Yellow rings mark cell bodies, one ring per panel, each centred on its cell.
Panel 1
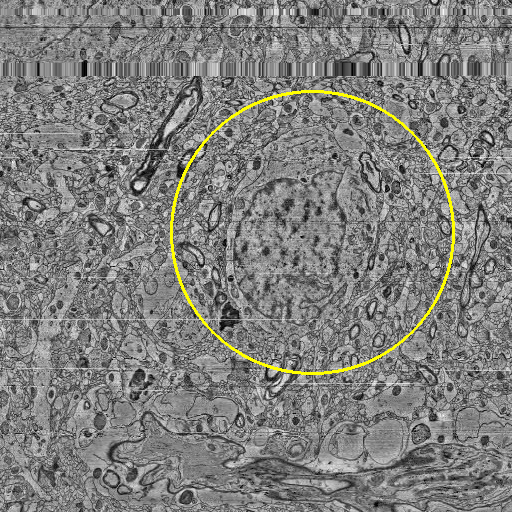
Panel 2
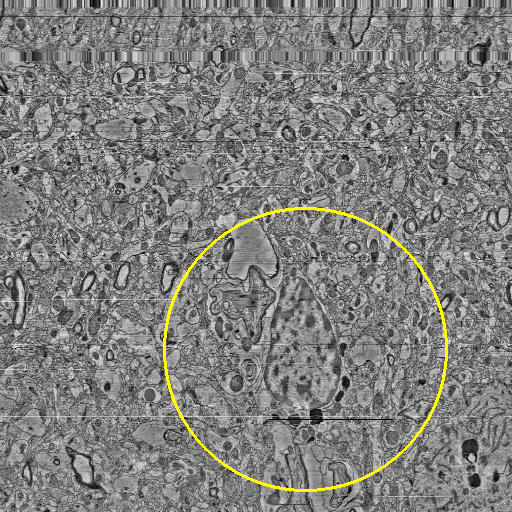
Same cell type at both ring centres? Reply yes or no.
no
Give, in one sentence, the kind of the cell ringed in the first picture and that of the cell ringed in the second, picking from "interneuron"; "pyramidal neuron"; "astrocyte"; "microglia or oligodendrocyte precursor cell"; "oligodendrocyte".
For the first picture it is an interneuron; for the second, a microglial cell or oligodendrocyte precursor cell.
